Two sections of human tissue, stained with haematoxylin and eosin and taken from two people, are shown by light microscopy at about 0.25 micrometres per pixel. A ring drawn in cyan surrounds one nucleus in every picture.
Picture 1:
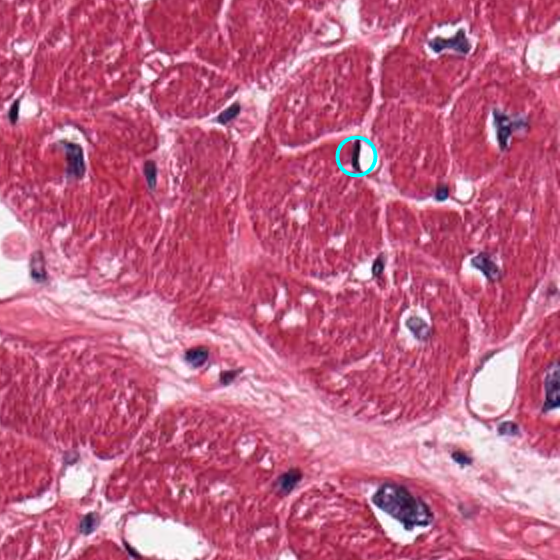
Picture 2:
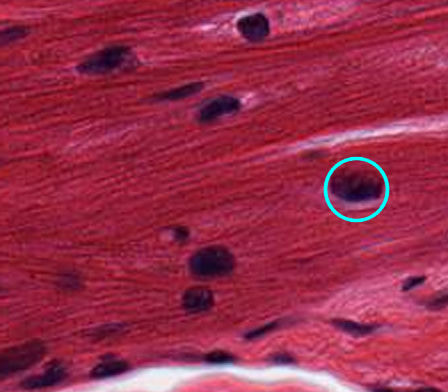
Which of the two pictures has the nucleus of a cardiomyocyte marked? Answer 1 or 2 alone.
2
